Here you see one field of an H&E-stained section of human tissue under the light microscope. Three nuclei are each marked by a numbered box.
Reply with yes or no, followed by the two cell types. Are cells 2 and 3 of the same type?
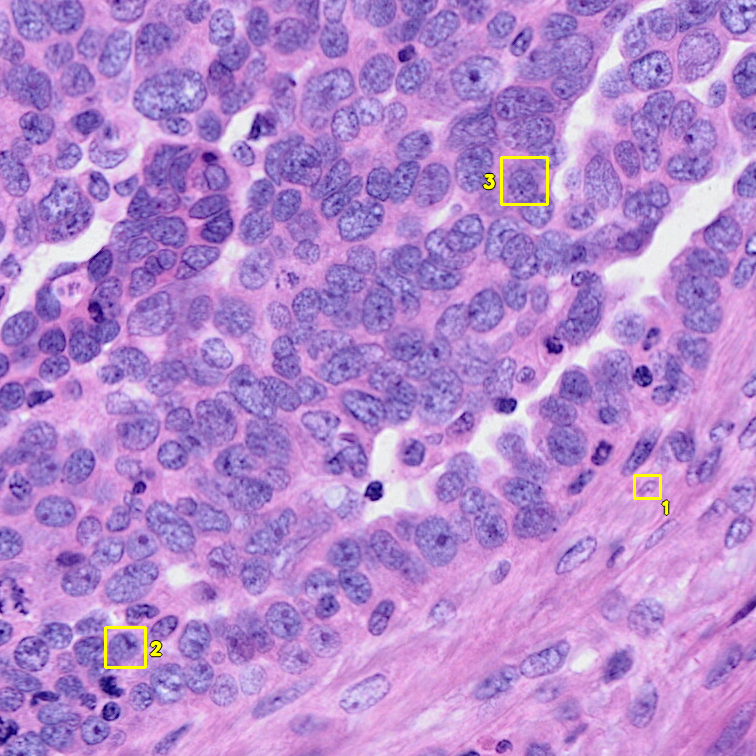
Yes, cells 2 and 3 are both identified as carcinoma cells.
